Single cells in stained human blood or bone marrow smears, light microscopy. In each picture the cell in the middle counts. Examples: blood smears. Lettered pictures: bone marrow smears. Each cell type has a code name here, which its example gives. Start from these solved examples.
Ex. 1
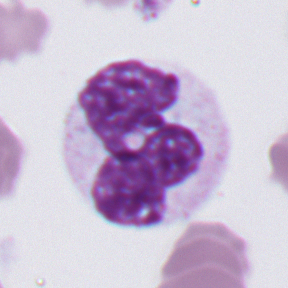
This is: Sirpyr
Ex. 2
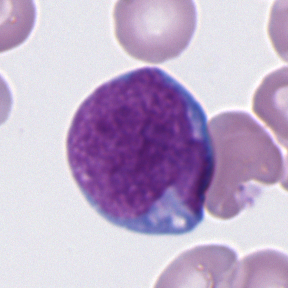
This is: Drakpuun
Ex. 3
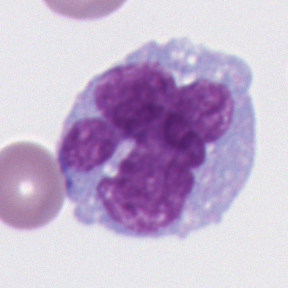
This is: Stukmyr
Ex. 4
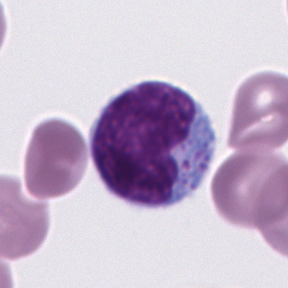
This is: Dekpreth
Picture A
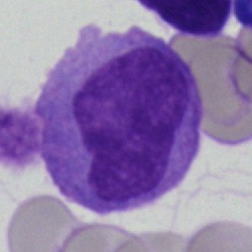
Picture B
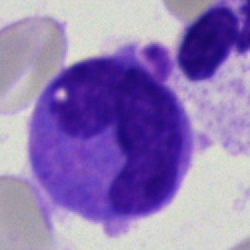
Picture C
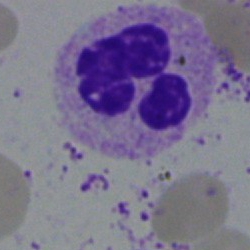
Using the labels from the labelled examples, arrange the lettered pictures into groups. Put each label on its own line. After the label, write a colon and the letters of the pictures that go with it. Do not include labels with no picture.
Sirpyr: C
Stukmyr: A, B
